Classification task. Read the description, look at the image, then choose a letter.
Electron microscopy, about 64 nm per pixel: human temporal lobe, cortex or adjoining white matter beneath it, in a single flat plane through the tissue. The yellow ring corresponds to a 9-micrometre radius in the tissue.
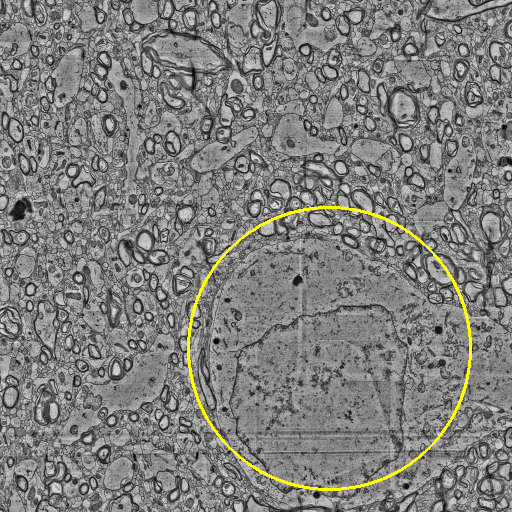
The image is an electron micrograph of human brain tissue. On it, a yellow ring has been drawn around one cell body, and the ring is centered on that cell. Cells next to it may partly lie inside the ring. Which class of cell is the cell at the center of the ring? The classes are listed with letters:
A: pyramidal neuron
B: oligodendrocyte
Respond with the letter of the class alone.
A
